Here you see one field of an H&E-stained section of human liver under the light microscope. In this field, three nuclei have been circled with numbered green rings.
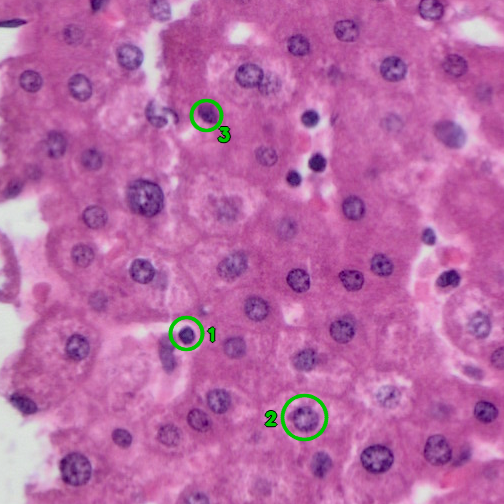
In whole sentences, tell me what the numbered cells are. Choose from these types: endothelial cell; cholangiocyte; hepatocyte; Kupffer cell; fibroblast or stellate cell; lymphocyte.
Cell 1 is a lymphocyte. Cell 2 is a hepatocyte. Cell 3 is a fibroblast or stellate cell.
